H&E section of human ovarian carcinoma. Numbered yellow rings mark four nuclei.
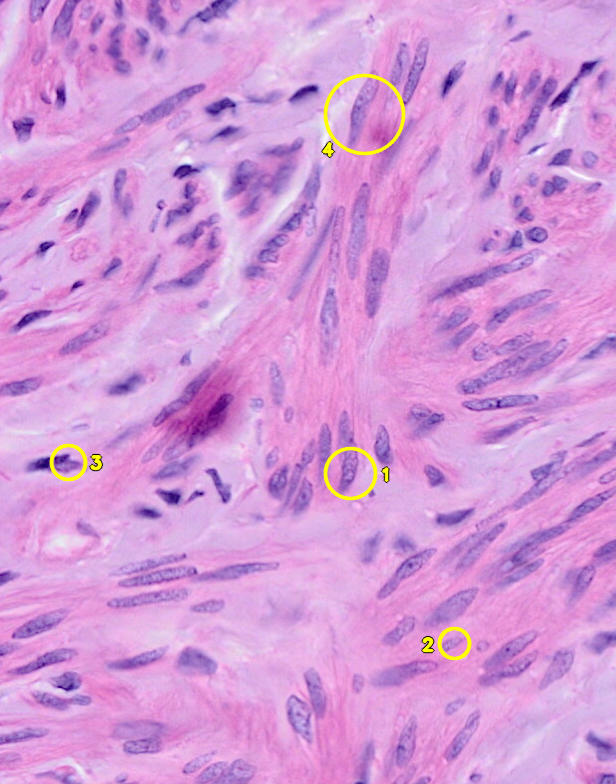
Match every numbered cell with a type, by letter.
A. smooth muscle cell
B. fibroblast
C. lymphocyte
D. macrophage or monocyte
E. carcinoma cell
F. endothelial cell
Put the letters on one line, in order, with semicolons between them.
A; A; B; A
